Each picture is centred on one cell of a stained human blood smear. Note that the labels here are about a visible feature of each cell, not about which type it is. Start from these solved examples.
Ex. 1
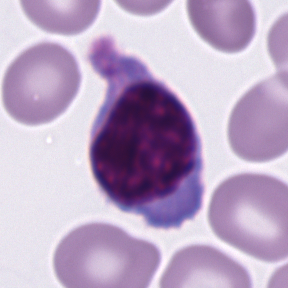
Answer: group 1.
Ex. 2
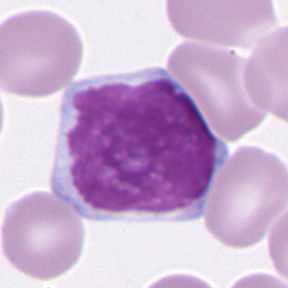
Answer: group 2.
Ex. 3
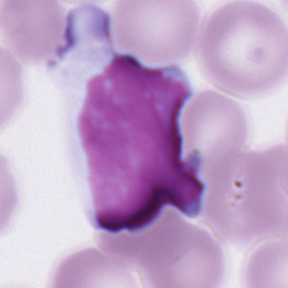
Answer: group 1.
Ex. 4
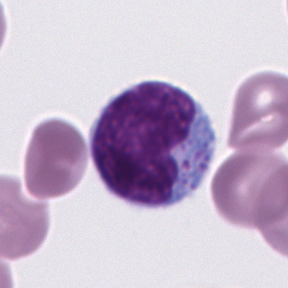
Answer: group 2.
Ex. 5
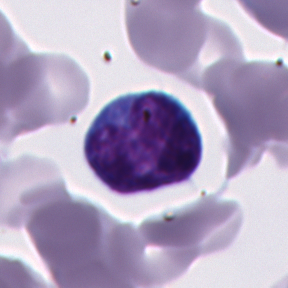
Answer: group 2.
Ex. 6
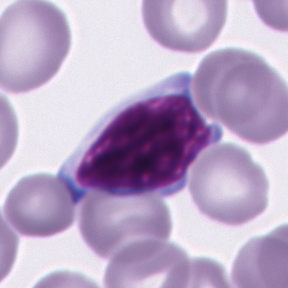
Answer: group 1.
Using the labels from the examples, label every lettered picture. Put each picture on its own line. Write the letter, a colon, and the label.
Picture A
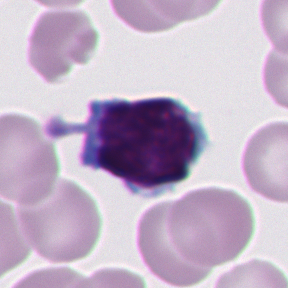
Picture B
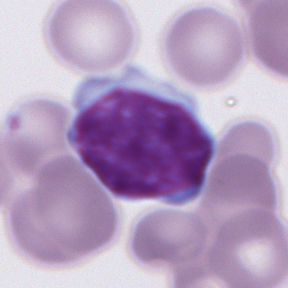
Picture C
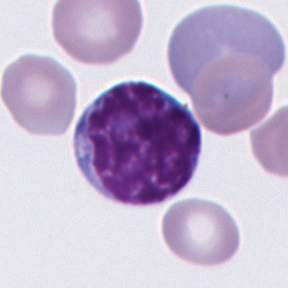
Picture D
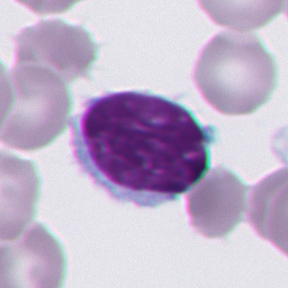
A: group 1.
B: group 1.
C: group 2.
D: group 1.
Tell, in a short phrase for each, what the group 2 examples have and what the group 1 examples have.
In group 2: smooth outline. In group 1: ragged outline or projections.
